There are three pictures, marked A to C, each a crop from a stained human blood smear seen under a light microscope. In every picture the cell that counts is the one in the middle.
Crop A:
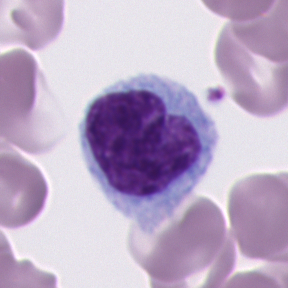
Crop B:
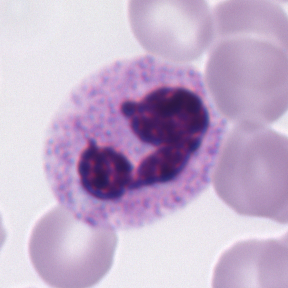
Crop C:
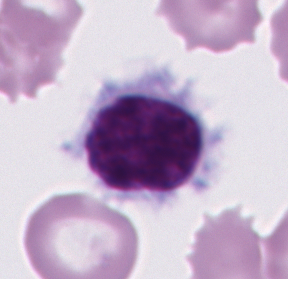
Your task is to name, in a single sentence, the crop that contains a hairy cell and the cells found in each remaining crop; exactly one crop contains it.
The cell centred in crop C is a hairy cell; by contrast, crop A is a monocyte and crop B is a segmented neutrophil.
